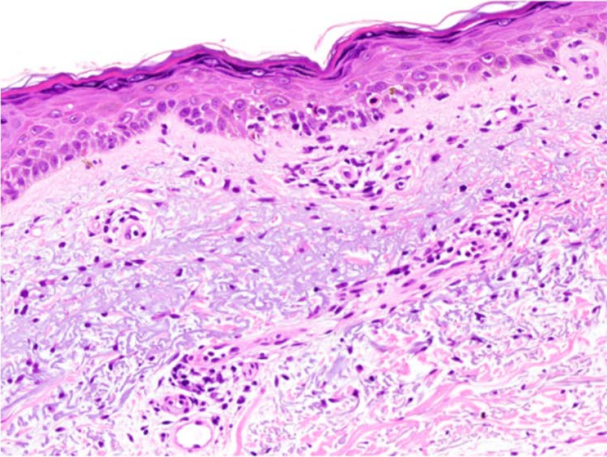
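This is skin, with the stratified squamous epidermis along the top under a thin pink cornified layer, and the loose pale pink dermis beneath. A few keratinocytes within the epidermis are rounded and separated from their neighbours by clear halos, and small dark lymphocyte nuclei lie scattered among them. In the upper dermis, small dark round nuclei of lymphocytes gather around the small blood vessels.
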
